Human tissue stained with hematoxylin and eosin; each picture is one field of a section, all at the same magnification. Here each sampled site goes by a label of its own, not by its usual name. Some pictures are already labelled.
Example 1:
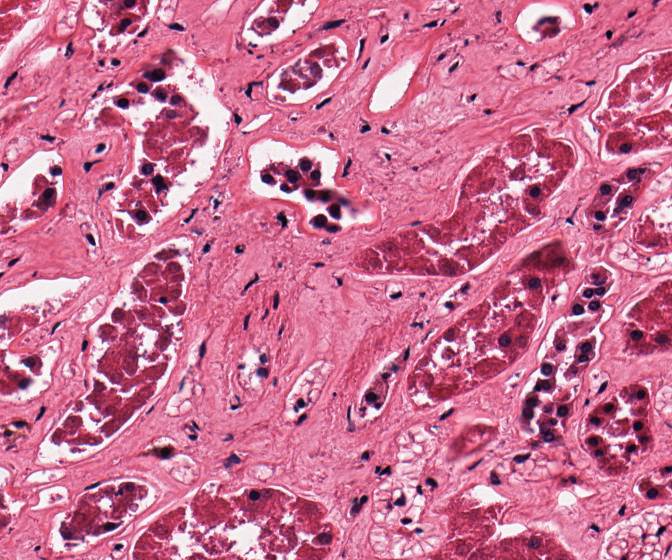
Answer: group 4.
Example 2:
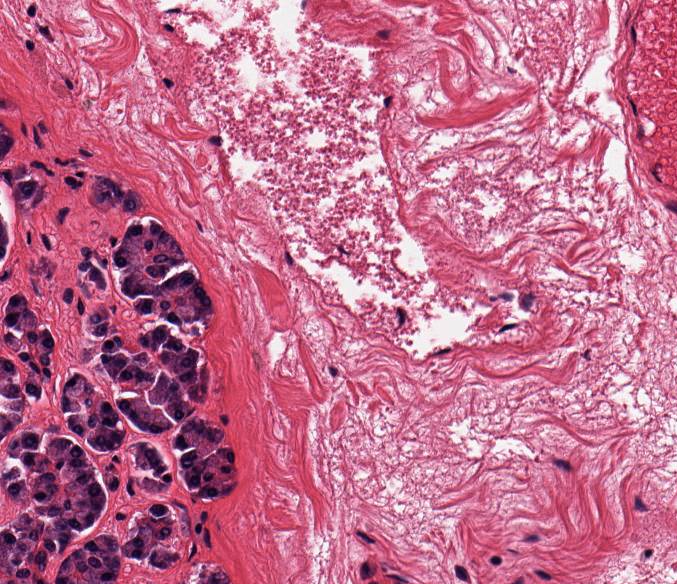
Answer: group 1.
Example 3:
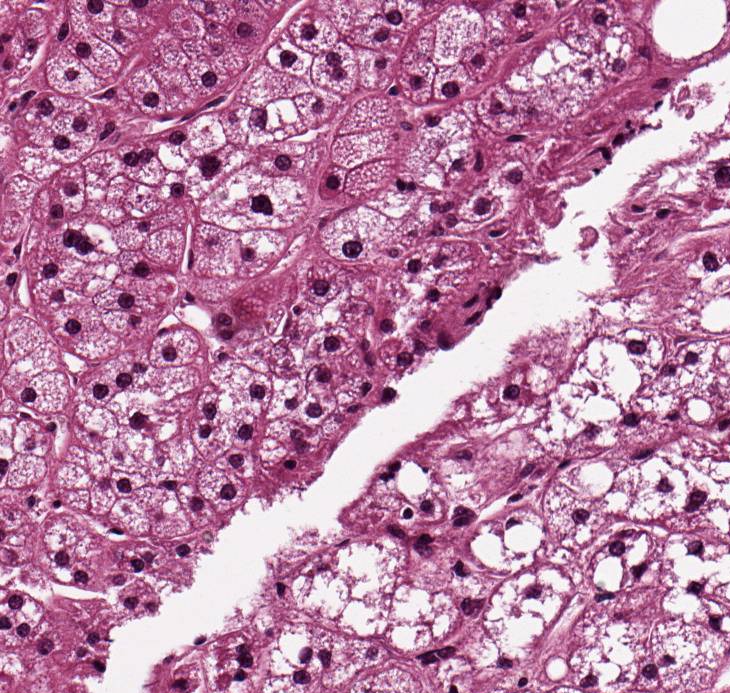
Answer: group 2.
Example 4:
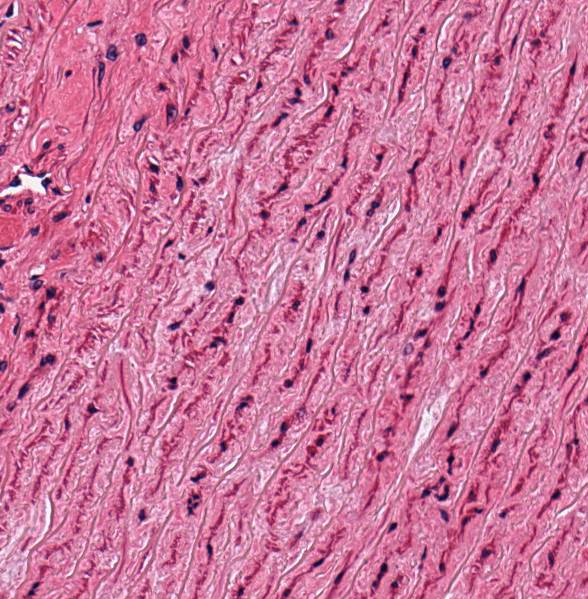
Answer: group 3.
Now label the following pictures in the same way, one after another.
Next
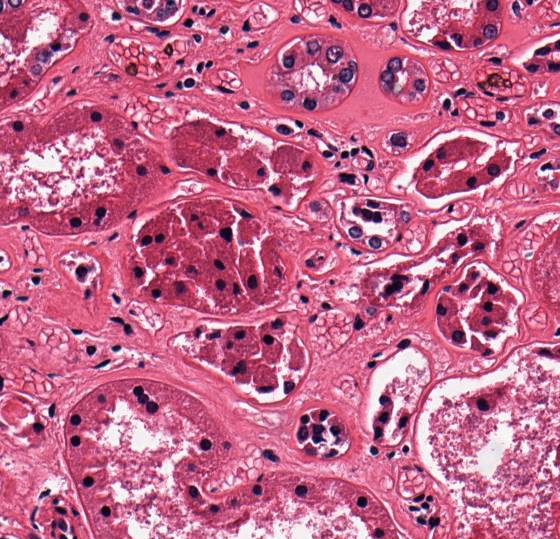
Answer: group 4.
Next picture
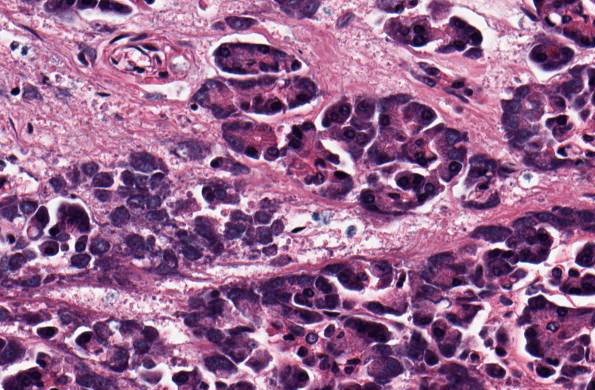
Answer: group 1.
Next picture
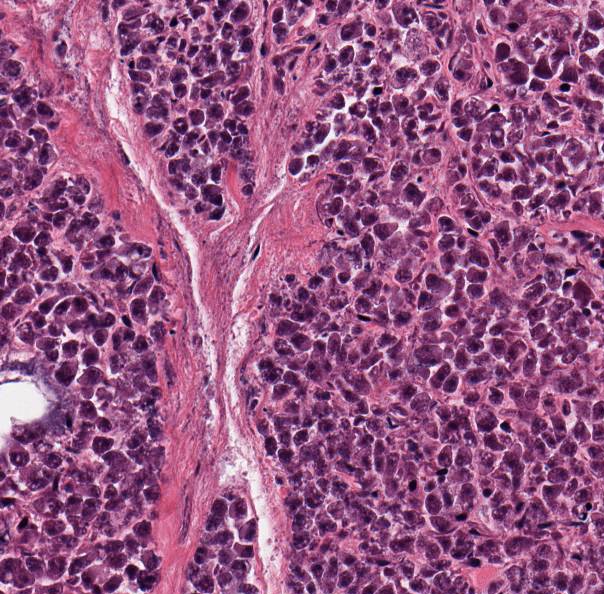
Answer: group 1.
